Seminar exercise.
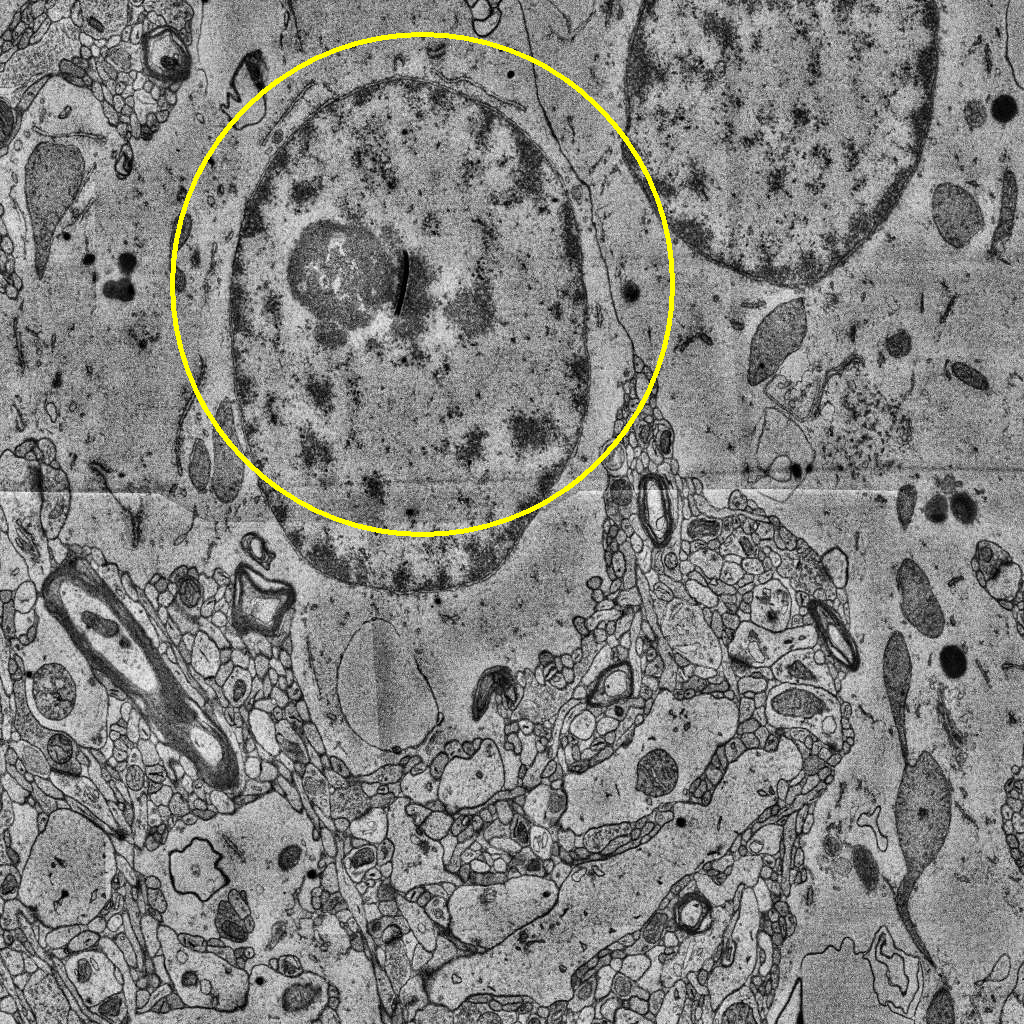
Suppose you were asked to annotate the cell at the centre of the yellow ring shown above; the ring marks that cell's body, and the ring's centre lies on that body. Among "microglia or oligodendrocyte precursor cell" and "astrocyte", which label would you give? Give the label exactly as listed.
astrocyte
